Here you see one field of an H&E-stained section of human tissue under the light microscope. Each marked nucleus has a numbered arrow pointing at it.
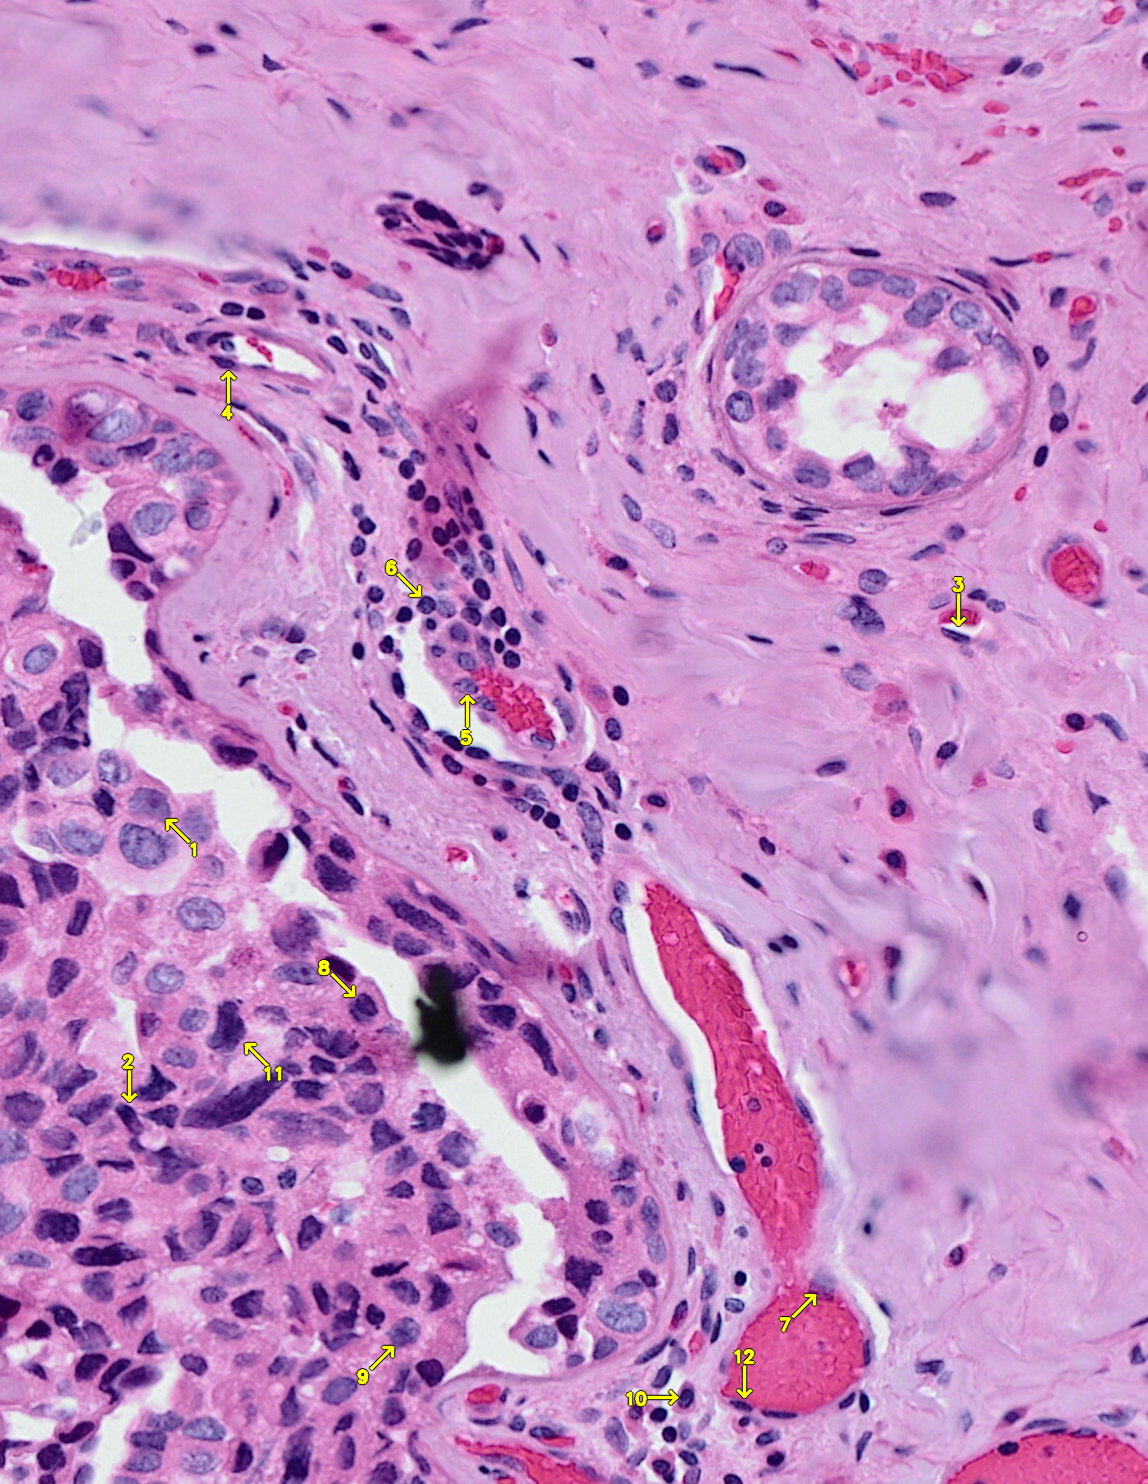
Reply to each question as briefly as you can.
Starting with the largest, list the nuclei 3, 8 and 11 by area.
11, 8, 3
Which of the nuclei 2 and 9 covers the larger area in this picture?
9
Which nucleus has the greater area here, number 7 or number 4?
7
